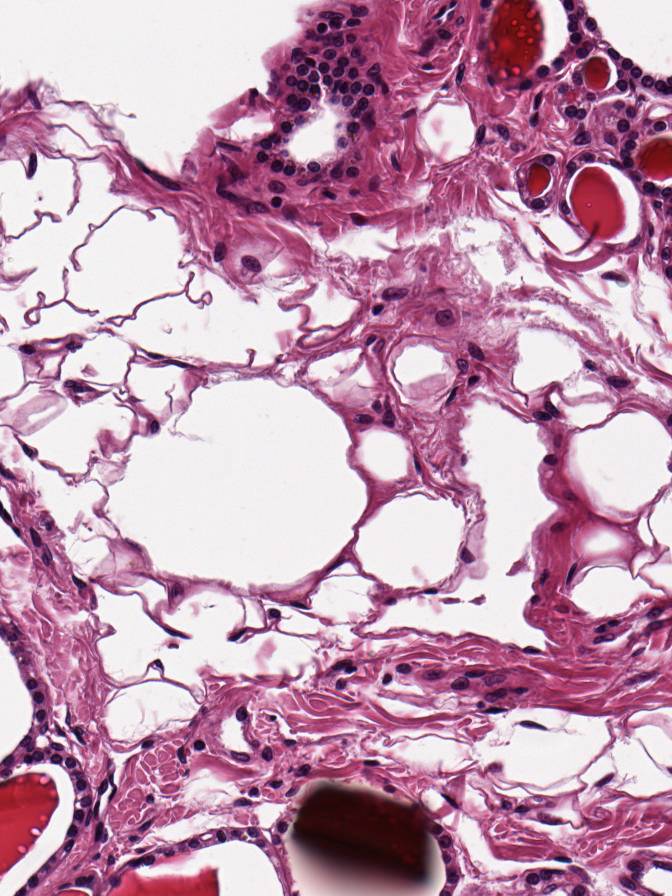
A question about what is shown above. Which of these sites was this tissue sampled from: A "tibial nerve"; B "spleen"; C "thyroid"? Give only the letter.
C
